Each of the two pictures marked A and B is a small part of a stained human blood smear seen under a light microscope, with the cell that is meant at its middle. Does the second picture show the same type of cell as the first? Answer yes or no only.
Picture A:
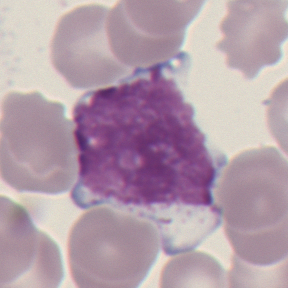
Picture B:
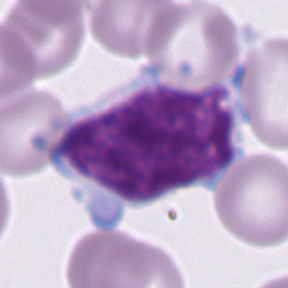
yes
